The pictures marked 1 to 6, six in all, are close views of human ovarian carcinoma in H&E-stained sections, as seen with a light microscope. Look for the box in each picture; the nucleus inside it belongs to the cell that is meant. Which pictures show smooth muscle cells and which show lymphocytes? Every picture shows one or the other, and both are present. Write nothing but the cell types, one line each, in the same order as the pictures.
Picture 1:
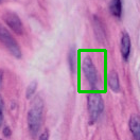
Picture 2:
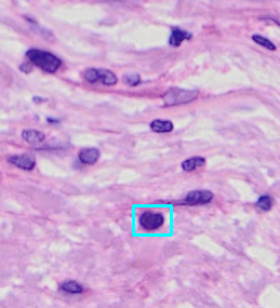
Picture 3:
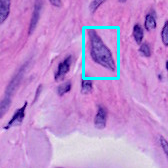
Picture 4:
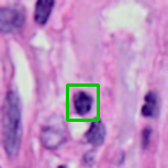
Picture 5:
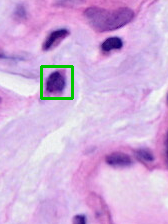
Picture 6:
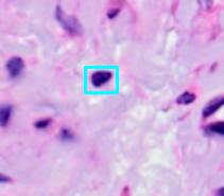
smooth muscle cell
lymphocyte
smooth muscle cell
lymphocyte
lymphocyte
lymphocyte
